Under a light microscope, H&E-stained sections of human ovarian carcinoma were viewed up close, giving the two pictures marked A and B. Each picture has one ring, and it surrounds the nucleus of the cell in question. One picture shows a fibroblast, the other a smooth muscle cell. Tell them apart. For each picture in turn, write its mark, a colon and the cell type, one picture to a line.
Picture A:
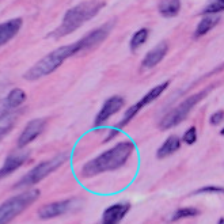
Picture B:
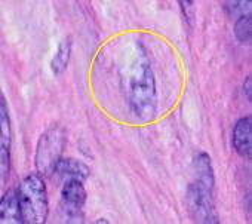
A: smooth muscle cell
B: fibroblast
